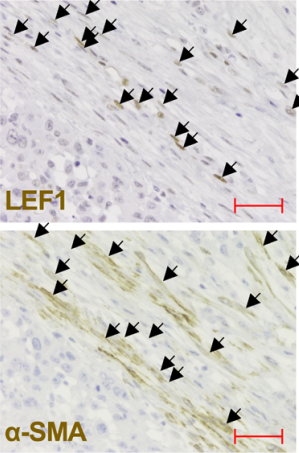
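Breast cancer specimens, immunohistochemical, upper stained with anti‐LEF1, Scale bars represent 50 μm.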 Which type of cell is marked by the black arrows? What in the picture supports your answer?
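Cells with a fibroblastic shape. The arrowed cells are thin and elongated, lying in streams between rounder cells. Their nuclei are narrow and spindle-shaped.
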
